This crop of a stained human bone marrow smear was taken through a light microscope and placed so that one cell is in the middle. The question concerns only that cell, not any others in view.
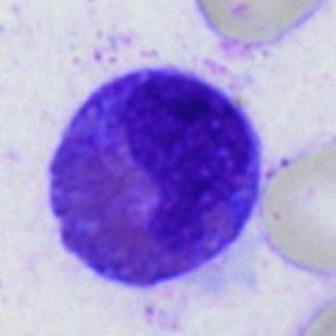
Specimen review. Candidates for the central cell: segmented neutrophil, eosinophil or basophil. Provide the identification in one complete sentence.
Answering briefly, the cell in the middle is an eosinophil.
